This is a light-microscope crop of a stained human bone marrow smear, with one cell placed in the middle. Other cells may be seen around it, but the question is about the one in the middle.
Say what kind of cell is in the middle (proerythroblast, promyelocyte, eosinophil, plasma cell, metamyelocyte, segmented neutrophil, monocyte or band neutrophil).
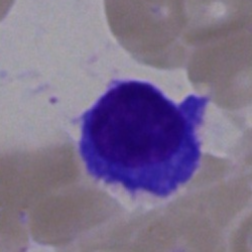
plasma cell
